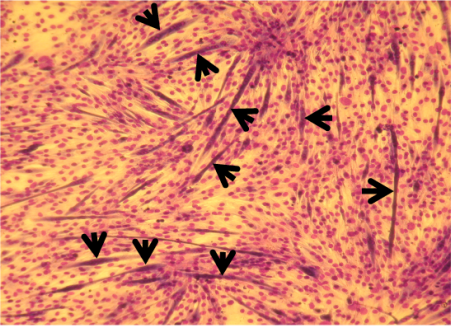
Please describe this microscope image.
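A confluent layer of myoblasts is seen, with scattered multinucleated myotubes among them. The myotubes stand out as elongated, darker purple fibres, much longer than the surrounding single cells, whose small round to oval nuclei stain purple.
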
